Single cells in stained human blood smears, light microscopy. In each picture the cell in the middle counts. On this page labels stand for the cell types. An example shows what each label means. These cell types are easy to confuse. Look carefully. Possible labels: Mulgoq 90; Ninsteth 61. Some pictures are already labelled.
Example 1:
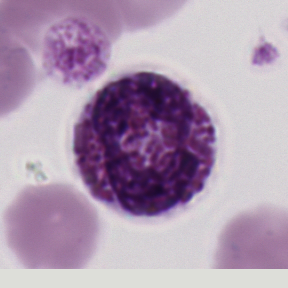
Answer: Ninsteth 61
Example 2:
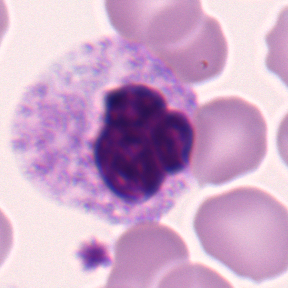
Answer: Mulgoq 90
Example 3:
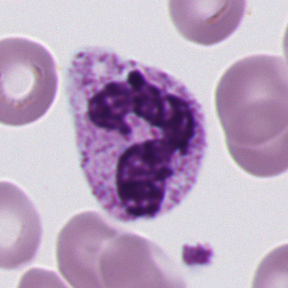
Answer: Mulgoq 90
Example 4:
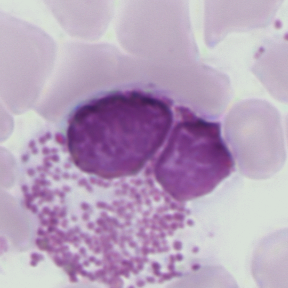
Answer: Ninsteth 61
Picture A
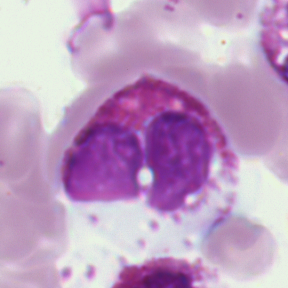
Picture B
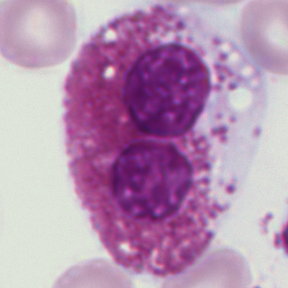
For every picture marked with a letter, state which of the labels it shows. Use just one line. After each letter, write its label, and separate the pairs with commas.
A Ninsteth 61, B Ninsteth 61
